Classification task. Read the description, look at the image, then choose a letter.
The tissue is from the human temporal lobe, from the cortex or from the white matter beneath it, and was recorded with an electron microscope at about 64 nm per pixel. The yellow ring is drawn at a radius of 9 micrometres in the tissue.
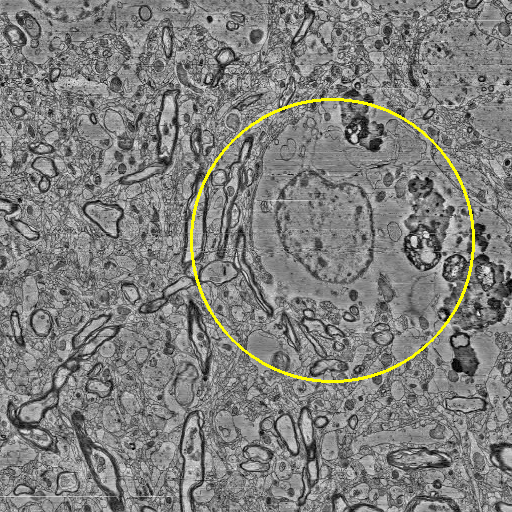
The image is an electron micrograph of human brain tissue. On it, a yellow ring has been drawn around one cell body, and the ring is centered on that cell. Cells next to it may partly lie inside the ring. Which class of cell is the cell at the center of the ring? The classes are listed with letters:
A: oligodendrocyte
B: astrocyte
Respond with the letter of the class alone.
B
